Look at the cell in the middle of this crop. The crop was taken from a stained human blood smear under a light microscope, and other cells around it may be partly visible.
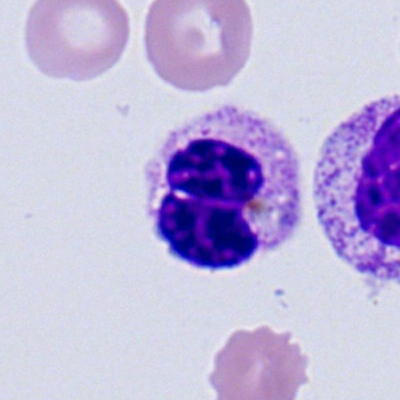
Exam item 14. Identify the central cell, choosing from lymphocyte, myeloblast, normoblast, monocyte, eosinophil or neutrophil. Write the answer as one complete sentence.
This crop is built around a neutrophil at its centre.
